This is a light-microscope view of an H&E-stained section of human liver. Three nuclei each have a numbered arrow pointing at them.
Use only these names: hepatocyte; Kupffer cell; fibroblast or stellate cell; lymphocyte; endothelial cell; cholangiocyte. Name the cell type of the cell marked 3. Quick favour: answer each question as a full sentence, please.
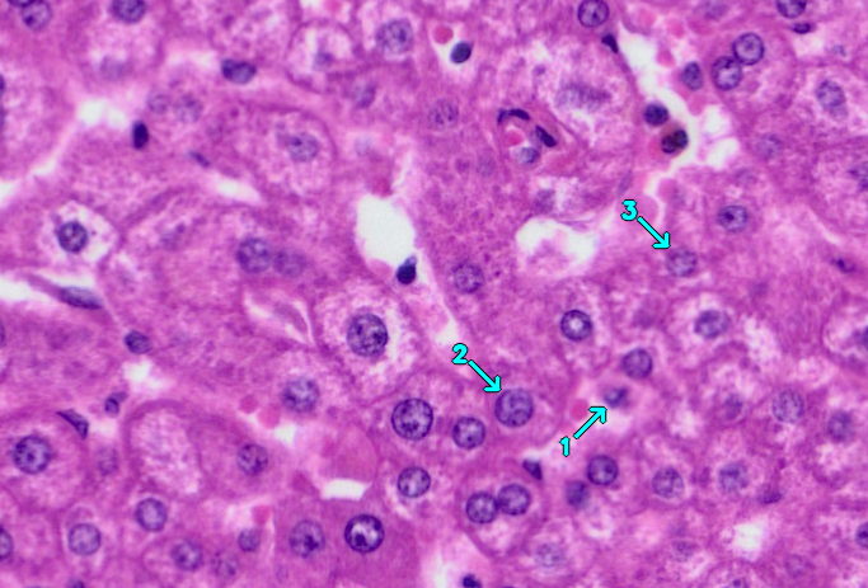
The cell tagged with 3 in this tissue section is a hepatocyte.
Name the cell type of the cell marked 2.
Cell 2, among those numbered, is a hepatocyte.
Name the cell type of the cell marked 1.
The cell identified by the number 1 is a Kupffer cell.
